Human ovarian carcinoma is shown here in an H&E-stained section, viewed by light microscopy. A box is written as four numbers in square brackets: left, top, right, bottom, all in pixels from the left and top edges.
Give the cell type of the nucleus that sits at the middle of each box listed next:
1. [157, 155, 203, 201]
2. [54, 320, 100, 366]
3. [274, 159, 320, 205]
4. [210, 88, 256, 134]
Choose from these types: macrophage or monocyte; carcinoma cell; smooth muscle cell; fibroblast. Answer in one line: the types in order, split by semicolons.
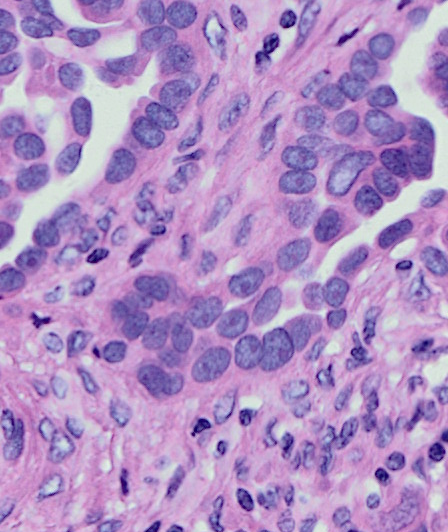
fibroblast; fibroblast; carcinoma cell; fibroblast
